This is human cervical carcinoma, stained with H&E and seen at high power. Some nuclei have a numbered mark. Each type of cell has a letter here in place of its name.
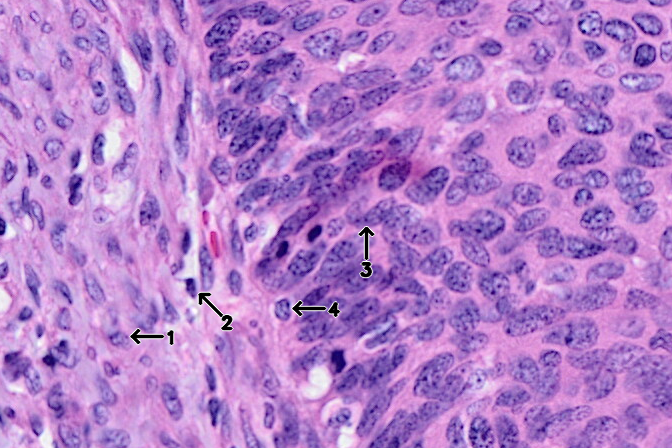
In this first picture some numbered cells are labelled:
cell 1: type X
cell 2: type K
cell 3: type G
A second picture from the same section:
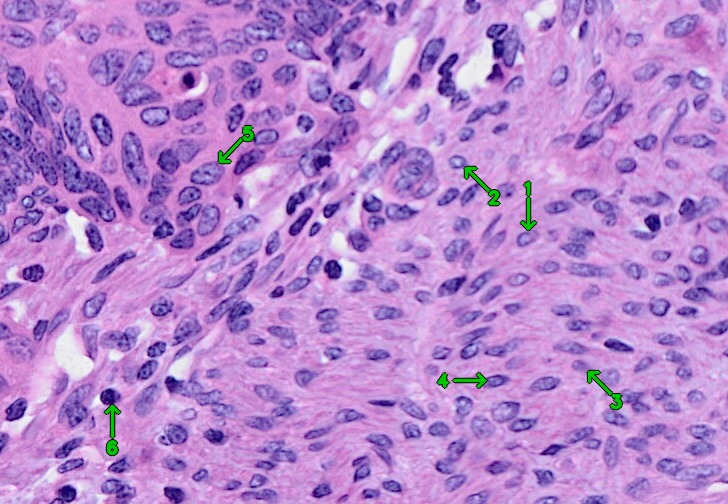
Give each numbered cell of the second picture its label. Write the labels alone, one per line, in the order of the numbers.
type X
type X
type X
type X
type G
type K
